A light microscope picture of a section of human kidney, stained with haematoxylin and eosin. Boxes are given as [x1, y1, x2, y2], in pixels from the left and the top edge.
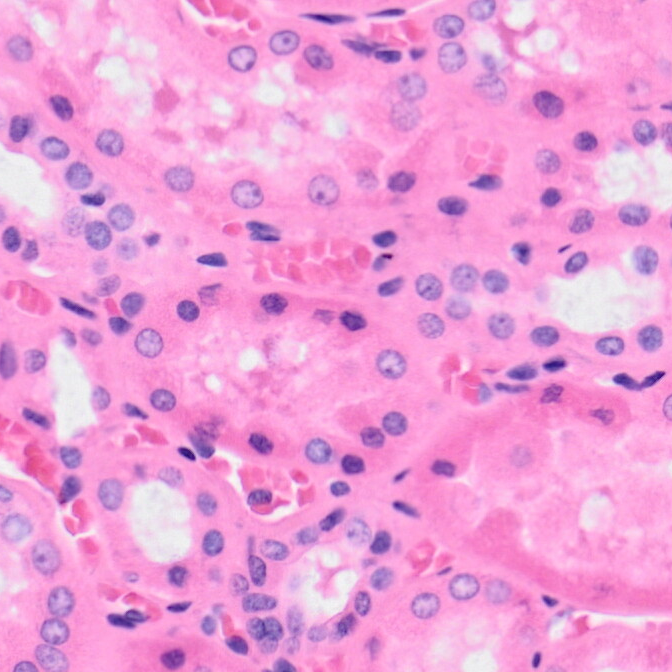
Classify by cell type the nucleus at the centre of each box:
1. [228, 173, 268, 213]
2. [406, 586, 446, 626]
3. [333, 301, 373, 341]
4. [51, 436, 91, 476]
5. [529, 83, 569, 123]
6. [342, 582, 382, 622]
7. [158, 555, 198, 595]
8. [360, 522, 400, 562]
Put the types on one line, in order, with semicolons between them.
proximal tubule cell; proximal tubule cell; proximal tubule cell; loop of Henle or distal tubule cell; proximal tubule cell; collecting duct cell; loop of Henle or distal tubule cell; collecting duct cell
